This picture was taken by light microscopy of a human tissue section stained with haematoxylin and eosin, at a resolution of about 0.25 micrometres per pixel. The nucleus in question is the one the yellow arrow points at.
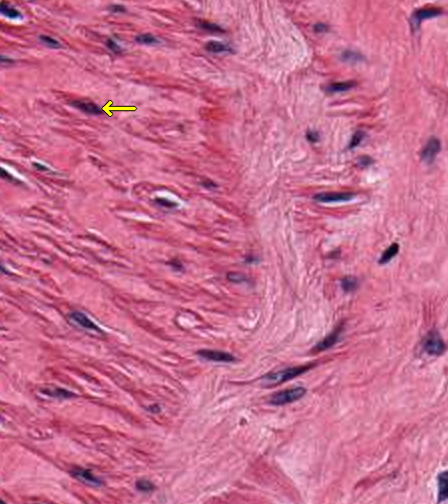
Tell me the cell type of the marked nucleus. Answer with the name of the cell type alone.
smooth muscle cell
